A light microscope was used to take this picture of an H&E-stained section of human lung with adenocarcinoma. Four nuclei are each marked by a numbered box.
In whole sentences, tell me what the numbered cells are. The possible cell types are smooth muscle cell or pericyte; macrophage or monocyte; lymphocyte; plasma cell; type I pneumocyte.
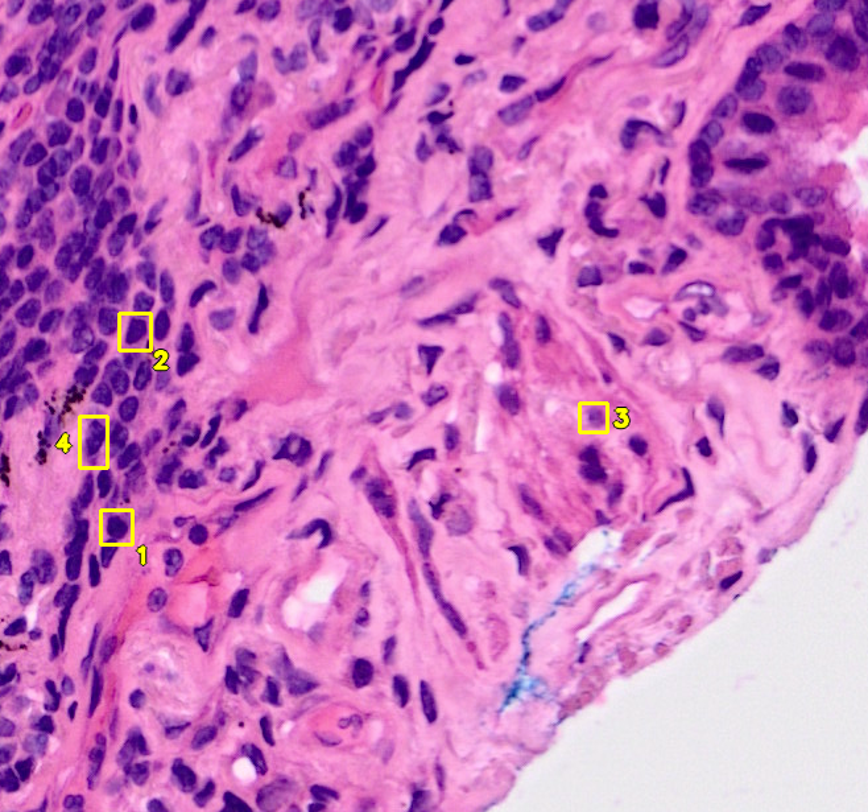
Cell 1 is a lymphocyte, cell 2 is a lymphocyte, cell 3 is a smooth muscle cell or pericyte and cell 4 is a lymphocyte.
